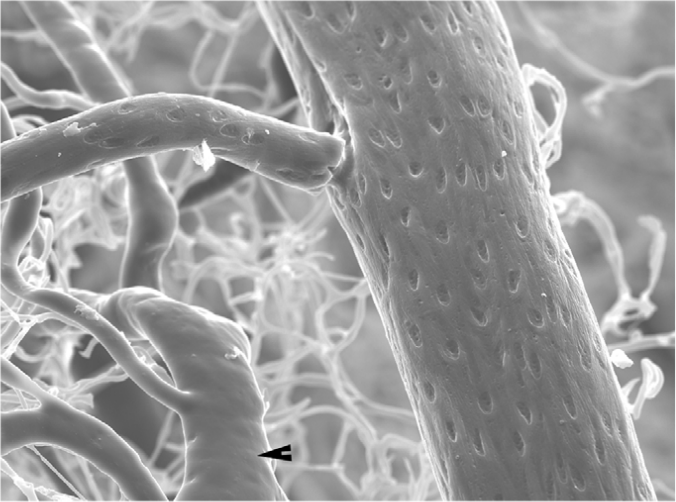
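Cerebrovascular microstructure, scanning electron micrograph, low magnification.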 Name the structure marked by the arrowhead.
Veins.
